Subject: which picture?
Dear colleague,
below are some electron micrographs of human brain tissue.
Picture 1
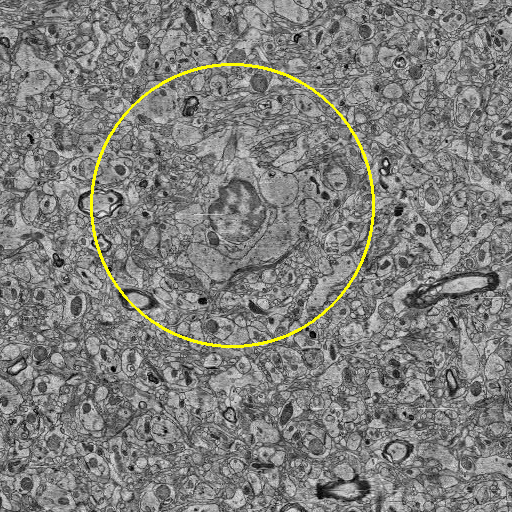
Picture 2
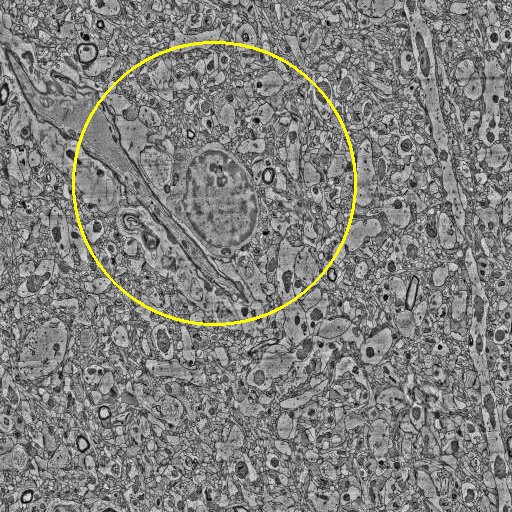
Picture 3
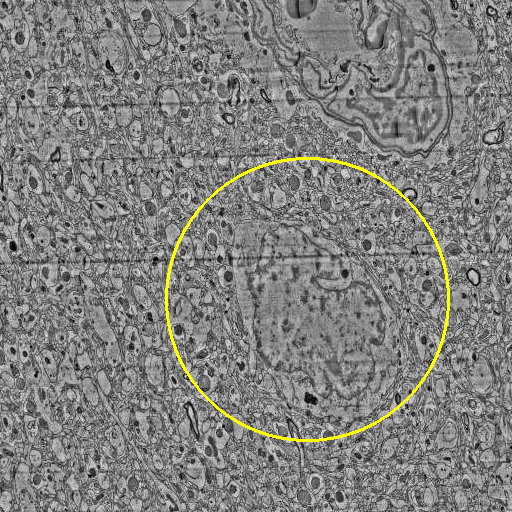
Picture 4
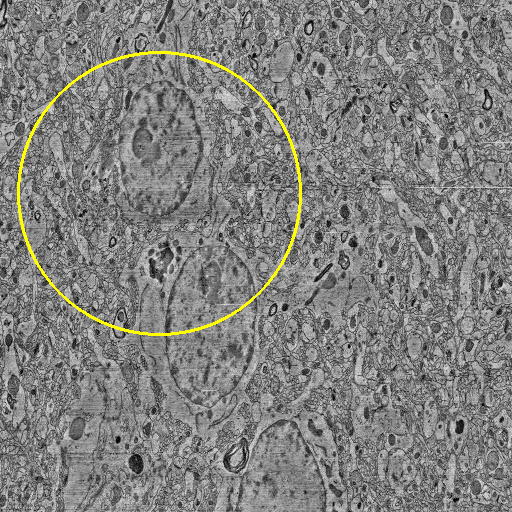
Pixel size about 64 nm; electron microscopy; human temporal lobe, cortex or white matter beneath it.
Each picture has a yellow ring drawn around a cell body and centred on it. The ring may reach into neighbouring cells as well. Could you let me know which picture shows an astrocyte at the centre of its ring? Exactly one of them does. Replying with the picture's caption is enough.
Picture 4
